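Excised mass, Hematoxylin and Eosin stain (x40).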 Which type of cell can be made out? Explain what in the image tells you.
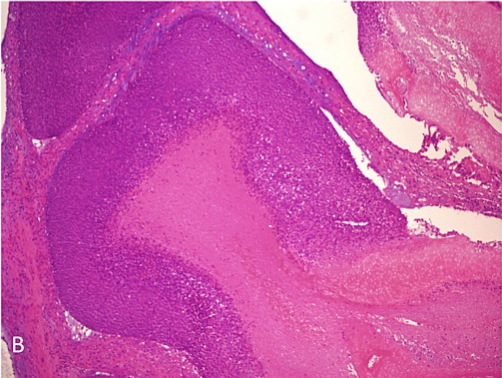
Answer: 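Ghost cells. A large nodule has a dark purple rim and a pale pink central area. The pink centre consists of eosinophilic material in which dark nuclei are largely absent.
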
